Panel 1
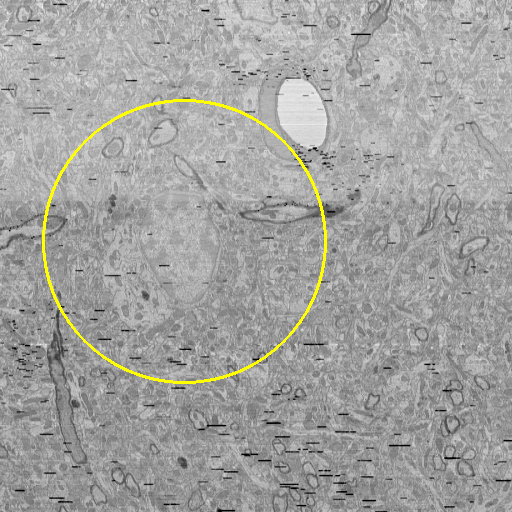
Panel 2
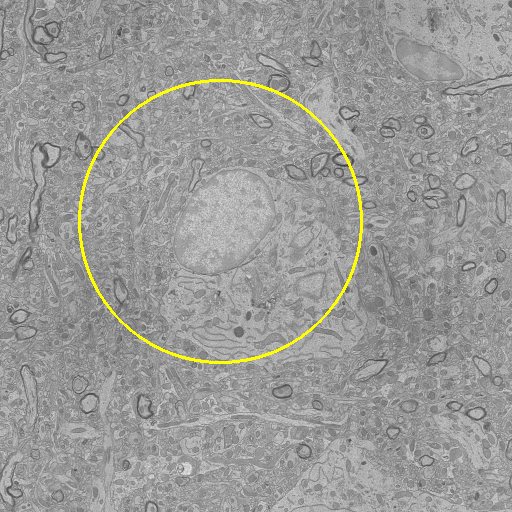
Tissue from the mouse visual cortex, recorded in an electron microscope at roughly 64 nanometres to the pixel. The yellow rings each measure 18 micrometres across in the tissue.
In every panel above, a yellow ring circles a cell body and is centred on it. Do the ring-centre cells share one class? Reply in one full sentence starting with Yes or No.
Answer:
Yes, the two cells at the ring centres in the panels belong to one class.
